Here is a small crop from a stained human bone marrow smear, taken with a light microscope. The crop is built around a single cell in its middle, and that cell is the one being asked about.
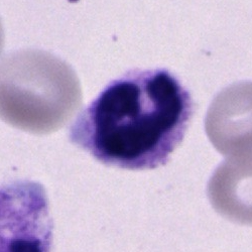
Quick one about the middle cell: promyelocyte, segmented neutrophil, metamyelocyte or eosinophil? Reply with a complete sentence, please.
The middle of this crop is occupied by a segmented neutrophil.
